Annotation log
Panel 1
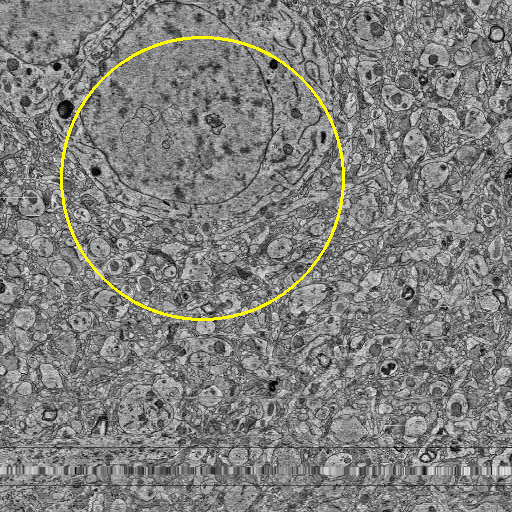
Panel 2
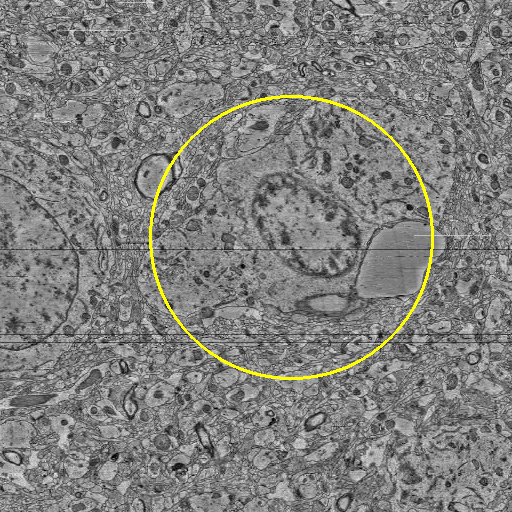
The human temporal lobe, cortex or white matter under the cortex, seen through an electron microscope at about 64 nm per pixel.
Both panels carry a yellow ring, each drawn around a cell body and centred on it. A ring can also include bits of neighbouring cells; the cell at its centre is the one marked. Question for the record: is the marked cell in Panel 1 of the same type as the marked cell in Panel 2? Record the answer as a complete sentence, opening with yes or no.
No, the marked cells in Panel 1 and Panel 2 are of two types.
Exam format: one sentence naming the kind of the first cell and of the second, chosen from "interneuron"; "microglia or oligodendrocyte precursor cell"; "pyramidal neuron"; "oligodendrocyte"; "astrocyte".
The first picture's cell is a pyramidal neuron, and the second picture's cell is an interneuron.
